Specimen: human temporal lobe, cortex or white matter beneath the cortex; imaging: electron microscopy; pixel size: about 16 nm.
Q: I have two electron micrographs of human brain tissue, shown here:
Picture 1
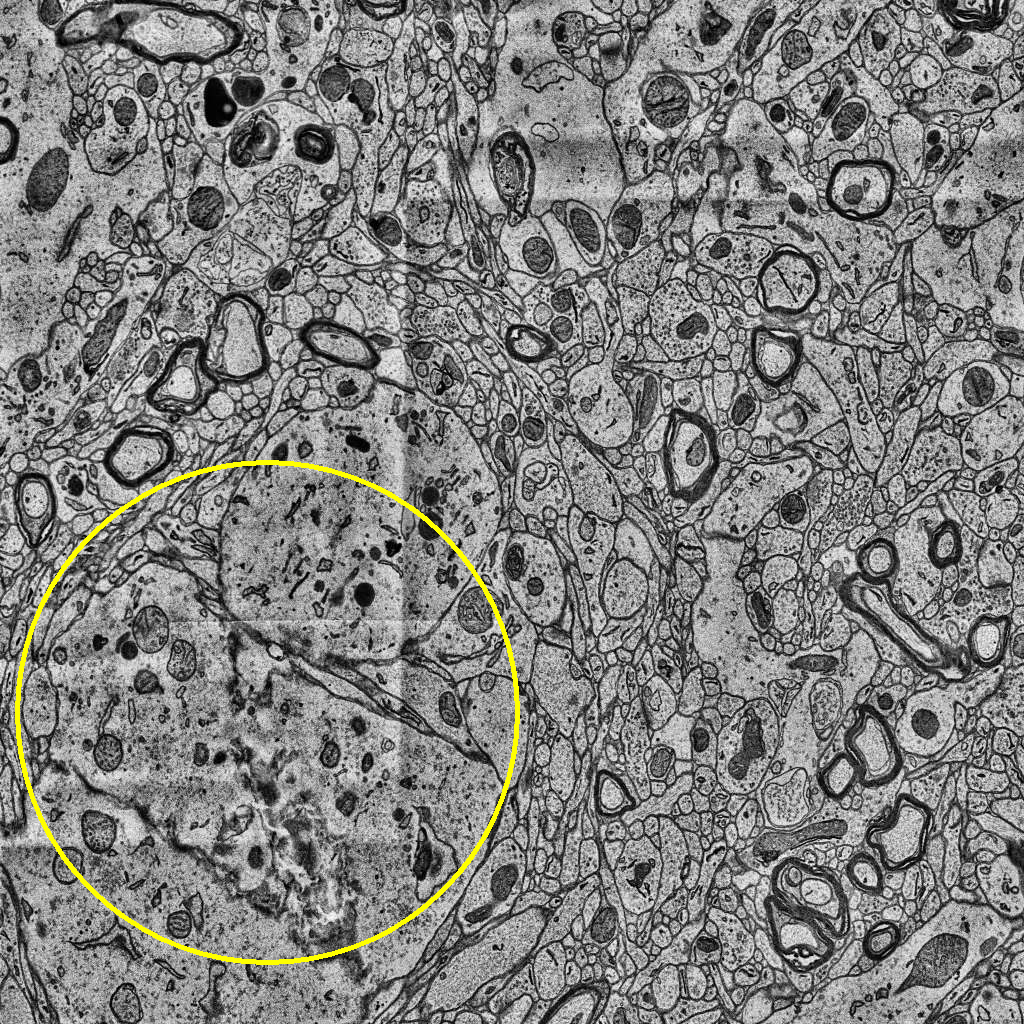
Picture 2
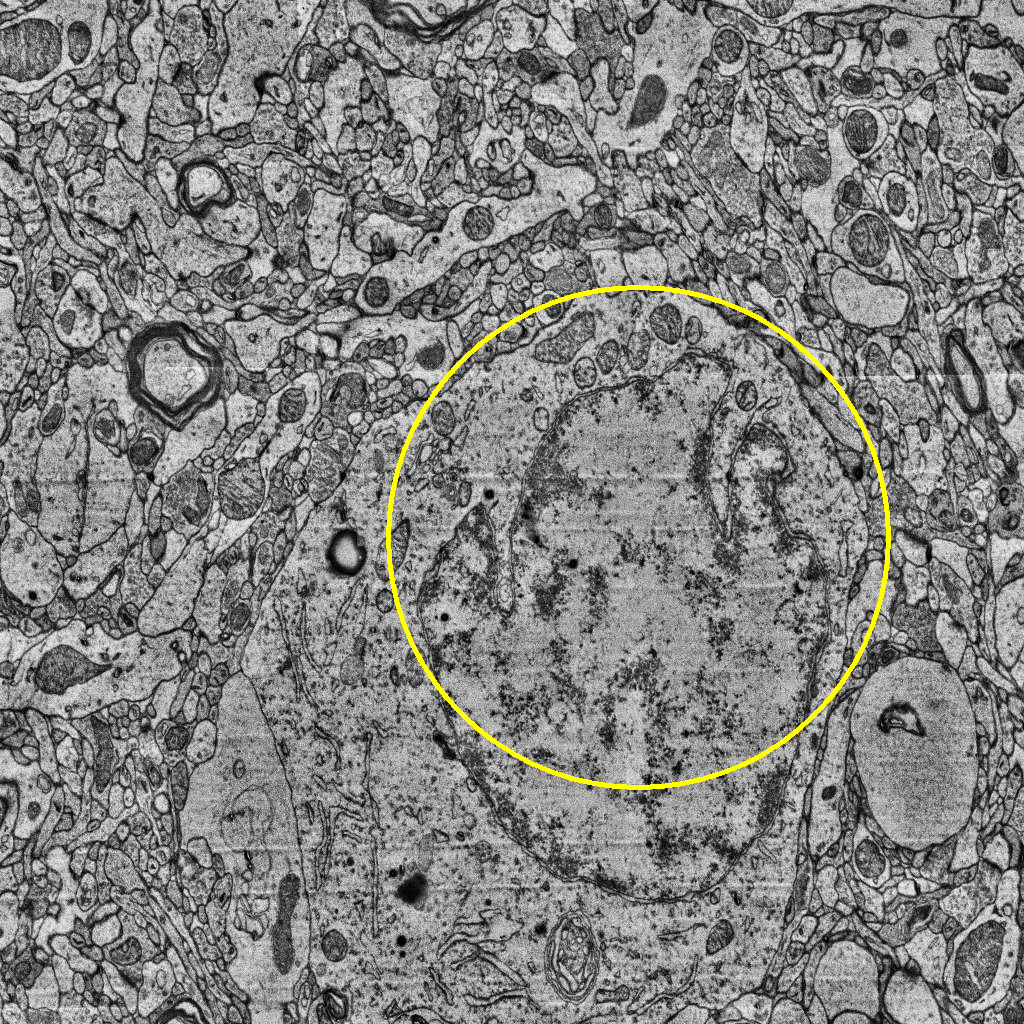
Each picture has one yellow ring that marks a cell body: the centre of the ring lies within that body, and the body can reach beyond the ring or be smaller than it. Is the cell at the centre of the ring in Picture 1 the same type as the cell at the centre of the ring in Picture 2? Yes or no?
yes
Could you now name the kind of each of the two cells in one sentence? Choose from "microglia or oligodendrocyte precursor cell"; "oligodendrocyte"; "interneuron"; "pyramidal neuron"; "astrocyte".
The ring centre holds an interneuron in each of the two pictures.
